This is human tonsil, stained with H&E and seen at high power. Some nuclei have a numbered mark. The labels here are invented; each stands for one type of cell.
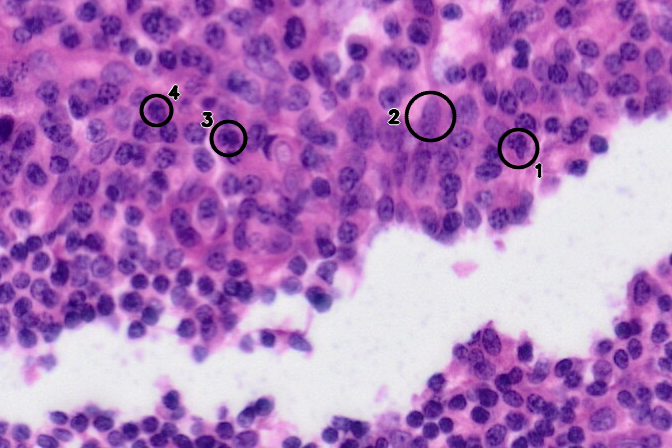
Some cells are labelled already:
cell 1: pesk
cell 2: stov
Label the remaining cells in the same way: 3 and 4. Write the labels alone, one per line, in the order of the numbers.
pesk
pesk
